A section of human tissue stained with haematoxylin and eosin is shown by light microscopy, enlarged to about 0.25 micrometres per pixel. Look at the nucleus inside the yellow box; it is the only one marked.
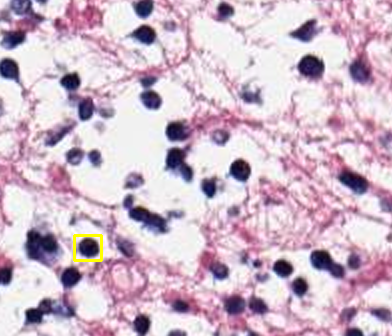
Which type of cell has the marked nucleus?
cerebellar granule cell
